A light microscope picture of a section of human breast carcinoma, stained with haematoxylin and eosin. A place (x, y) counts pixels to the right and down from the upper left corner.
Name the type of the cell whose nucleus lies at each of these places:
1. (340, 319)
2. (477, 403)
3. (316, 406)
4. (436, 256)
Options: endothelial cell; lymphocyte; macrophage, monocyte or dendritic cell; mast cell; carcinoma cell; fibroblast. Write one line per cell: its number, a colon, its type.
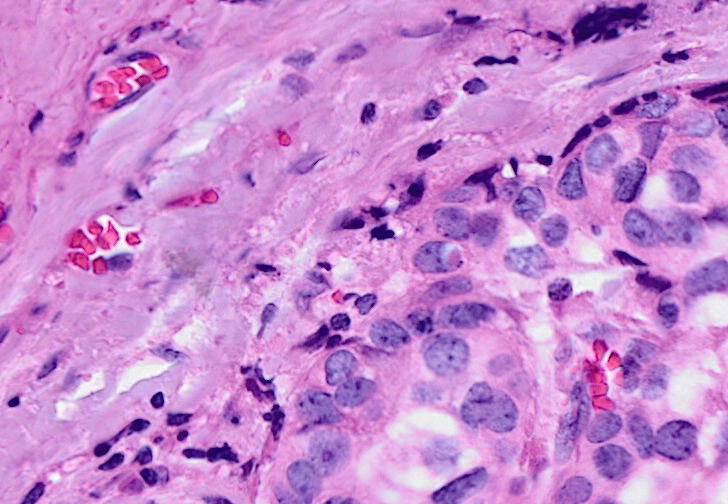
1: lymphocyte
2: carcinoma cell
3: carcinoma cell
4: carcinoma cell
